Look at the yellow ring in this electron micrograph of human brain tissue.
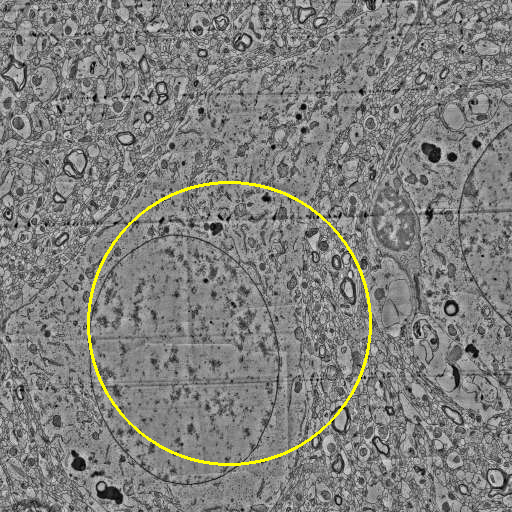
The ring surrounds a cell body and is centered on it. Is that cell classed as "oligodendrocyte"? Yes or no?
No, it is of another kind.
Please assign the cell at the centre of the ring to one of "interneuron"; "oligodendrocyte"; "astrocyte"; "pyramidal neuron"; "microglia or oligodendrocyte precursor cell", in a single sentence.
Instead, the cell at the centre of the yellow ring is a pyramidal neuron.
